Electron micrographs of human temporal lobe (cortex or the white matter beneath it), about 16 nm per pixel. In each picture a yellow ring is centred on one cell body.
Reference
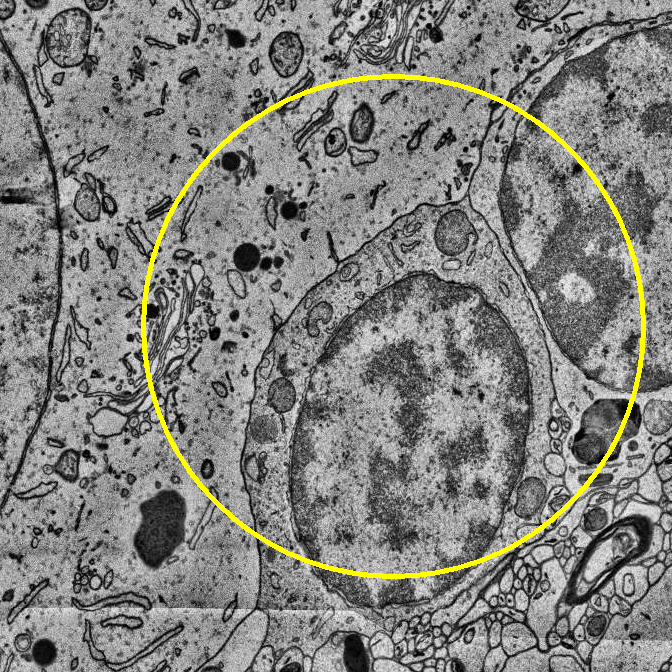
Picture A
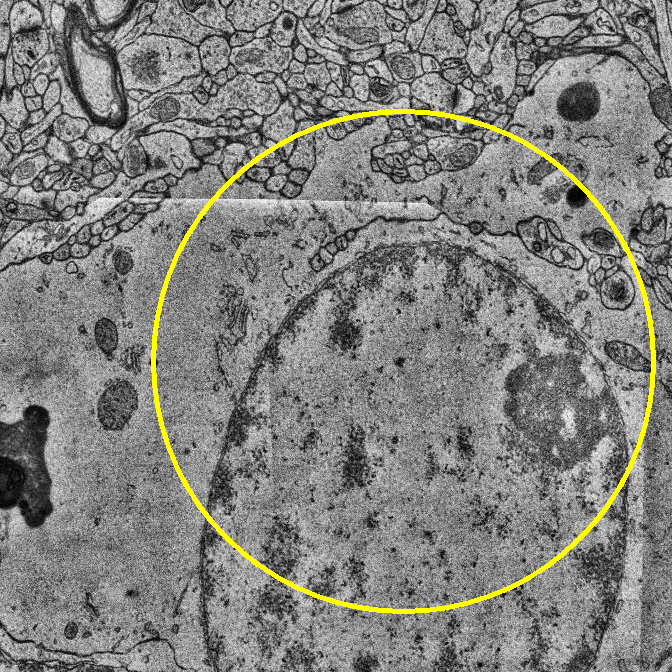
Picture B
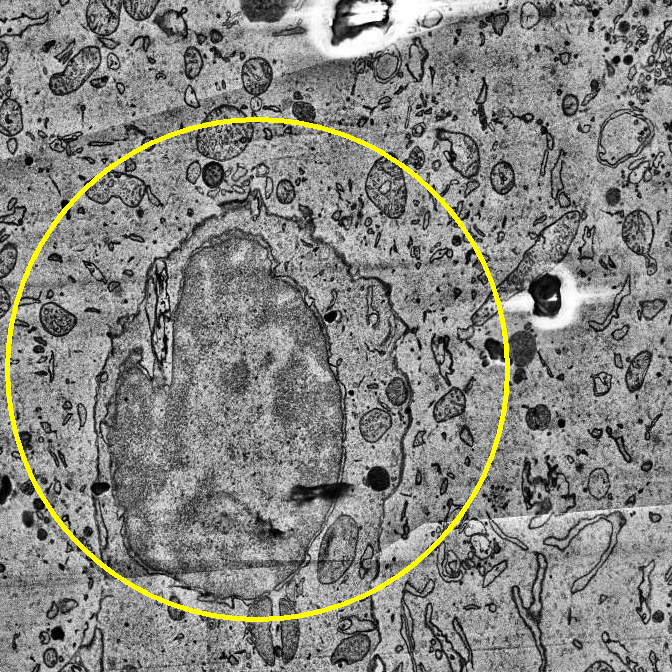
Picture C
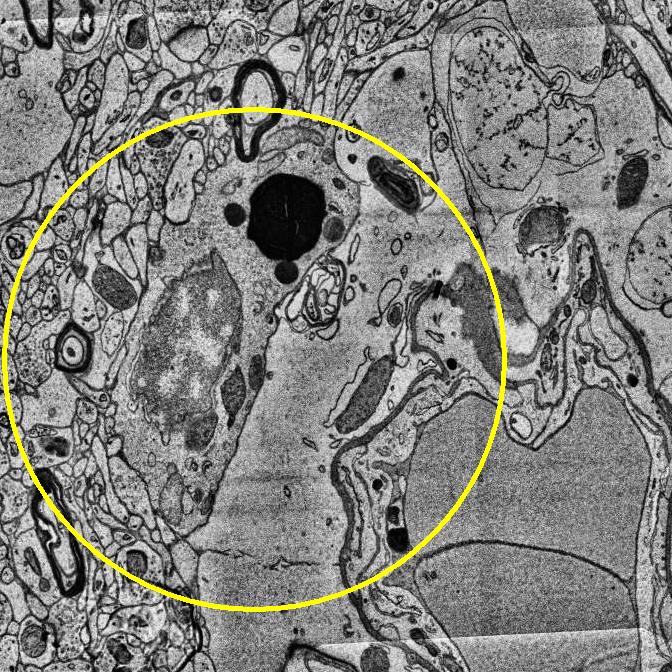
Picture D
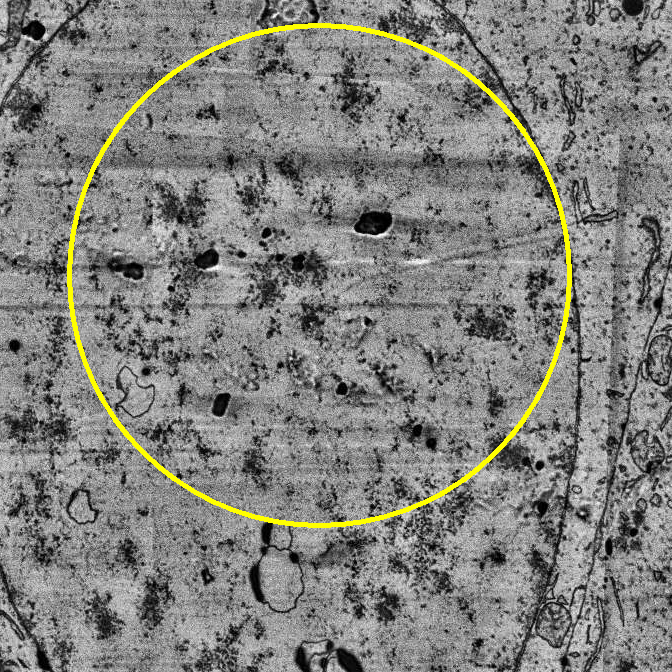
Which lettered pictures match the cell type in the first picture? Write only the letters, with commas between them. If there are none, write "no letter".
B, C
